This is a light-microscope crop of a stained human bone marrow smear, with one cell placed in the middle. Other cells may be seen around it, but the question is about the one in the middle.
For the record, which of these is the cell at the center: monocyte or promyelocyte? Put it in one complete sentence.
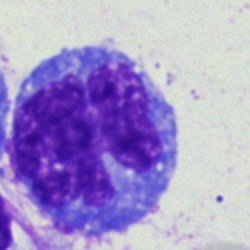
Classification of the middle cell gives a monocyte.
